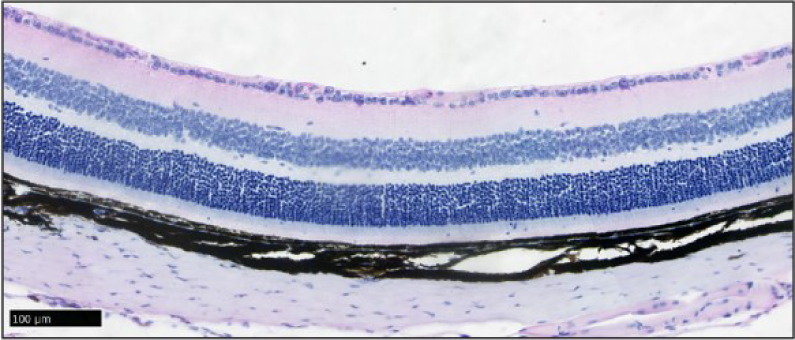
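The retina has bands of densely packed blue nuclei, the thickest made of small, tightly packed nuclei, with thinner nuclear layers toward the inner surface, separated by paler pink layers. Beneath the nuclear layers runs a dark black pigmented layer, and below it pink fibrous tissue of the outer coat of the eye.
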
